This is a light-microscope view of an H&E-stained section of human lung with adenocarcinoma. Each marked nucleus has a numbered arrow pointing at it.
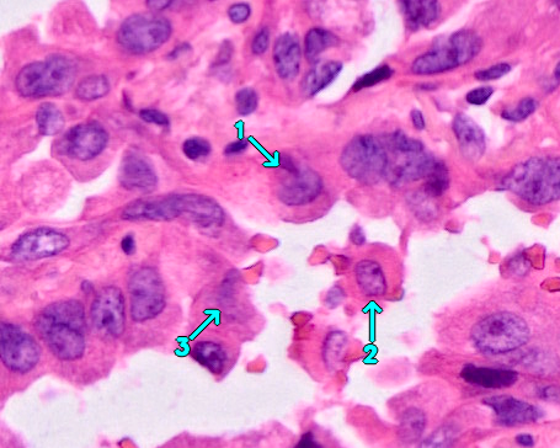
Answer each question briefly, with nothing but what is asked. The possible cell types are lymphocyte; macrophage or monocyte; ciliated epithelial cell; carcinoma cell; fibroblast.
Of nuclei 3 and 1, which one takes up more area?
1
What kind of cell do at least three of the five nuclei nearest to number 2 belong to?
lymphocyte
